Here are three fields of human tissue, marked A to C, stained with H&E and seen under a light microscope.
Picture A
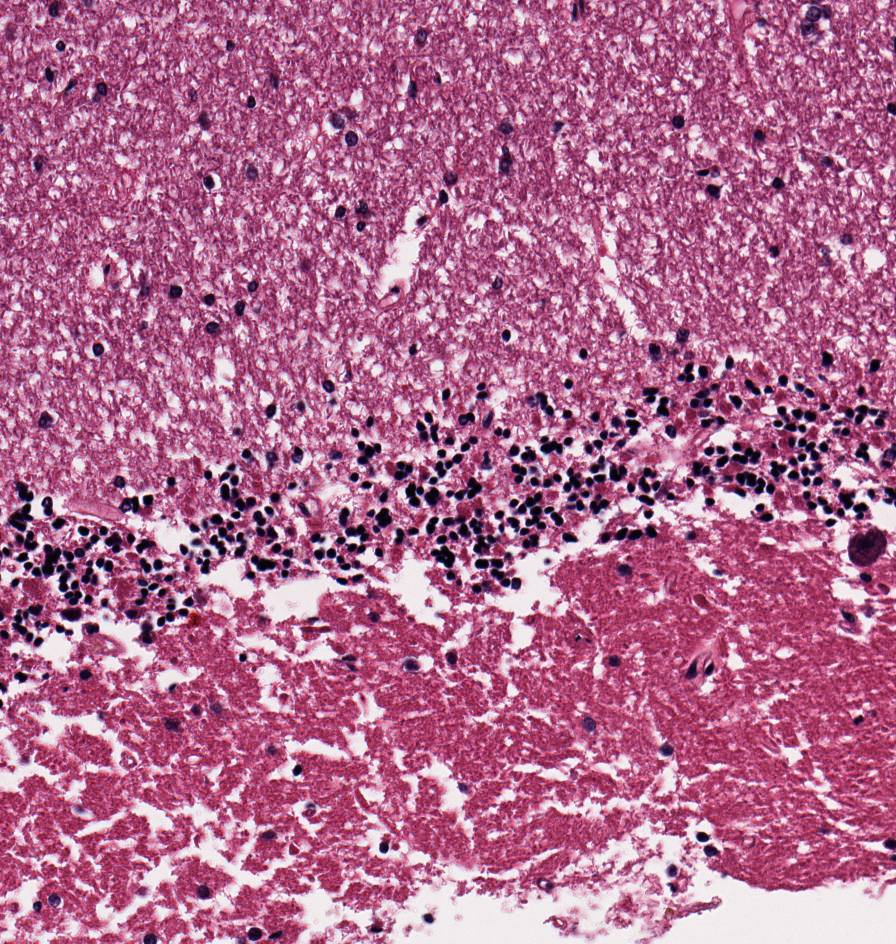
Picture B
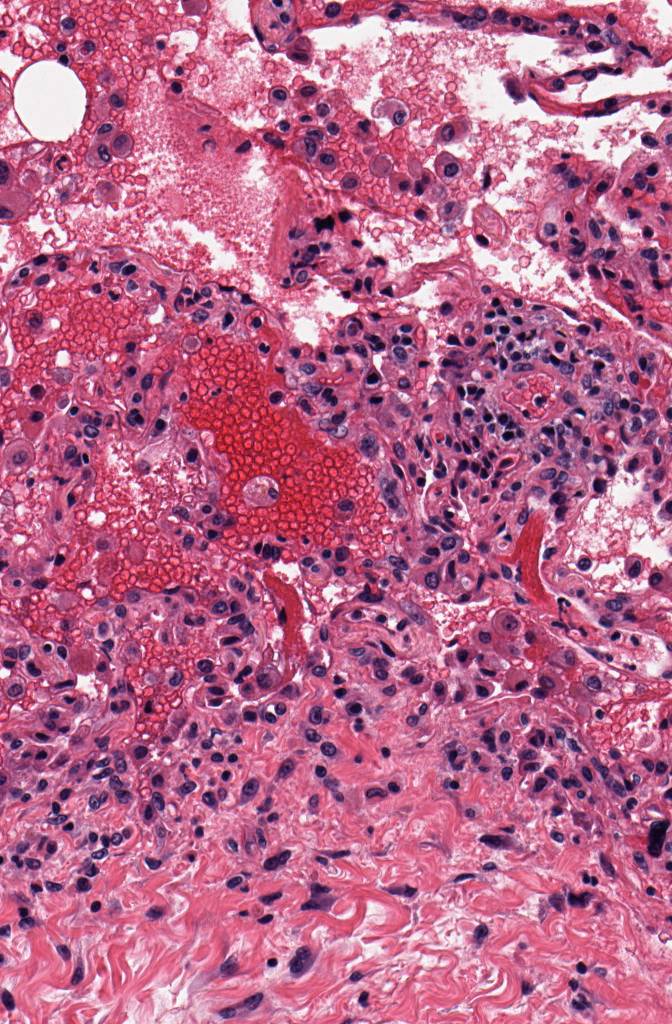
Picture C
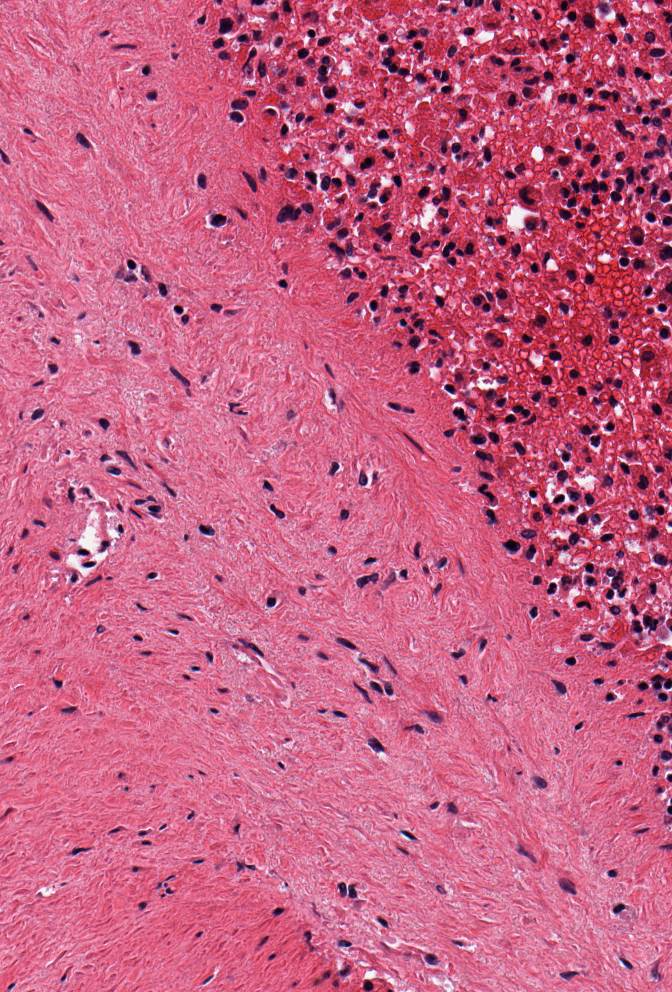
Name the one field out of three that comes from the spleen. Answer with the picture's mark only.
C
